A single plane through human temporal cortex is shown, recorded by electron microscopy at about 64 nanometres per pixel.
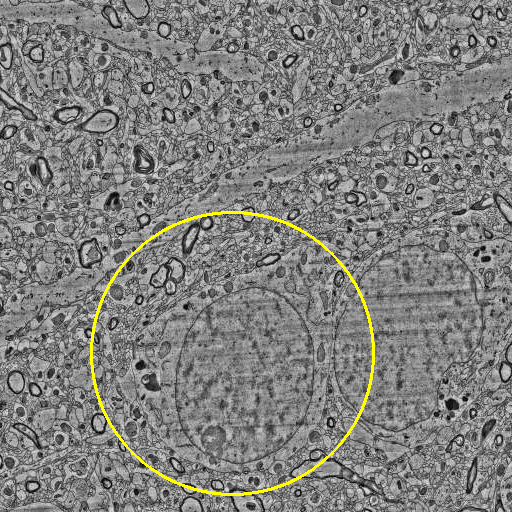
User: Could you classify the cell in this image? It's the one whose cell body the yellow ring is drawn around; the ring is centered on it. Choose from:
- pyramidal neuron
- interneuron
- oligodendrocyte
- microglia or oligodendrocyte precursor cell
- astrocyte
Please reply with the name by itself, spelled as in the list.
pyramidal neuron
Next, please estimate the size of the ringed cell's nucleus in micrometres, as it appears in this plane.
About 12 micrometres by about 9 micrometres in this plane.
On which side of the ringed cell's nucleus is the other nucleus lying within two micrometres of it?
That other nucleus lies to the right of it.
